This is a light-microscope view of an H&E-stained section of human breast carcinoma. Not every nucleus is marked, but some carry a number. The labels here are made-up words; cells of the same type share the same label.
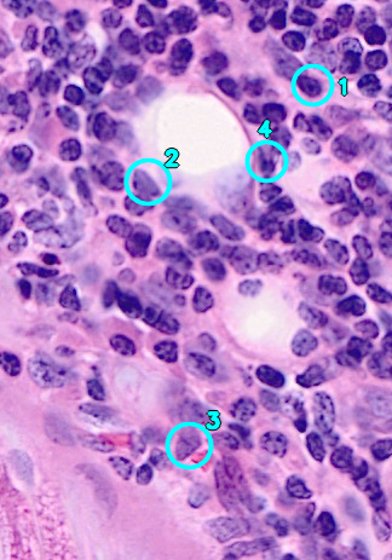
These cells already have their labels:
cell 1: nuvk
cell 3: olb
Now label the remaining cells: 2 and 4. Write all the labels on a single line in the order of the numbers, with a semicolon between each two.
nuvk; nuvk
